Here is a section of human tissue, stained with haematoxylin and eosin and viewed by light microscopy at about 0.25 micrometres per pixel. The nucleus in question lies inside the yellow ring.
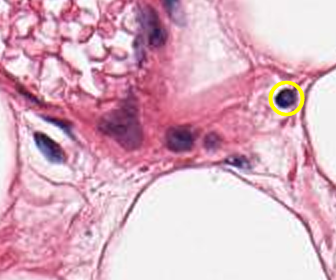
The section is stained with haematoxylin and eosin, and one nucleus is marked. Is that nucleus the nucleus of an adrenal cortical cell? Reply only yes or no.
no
